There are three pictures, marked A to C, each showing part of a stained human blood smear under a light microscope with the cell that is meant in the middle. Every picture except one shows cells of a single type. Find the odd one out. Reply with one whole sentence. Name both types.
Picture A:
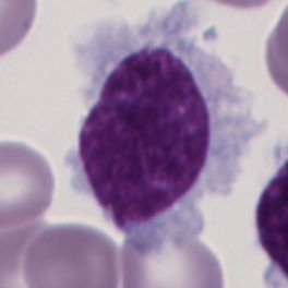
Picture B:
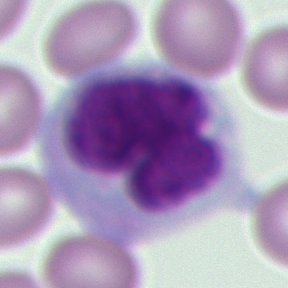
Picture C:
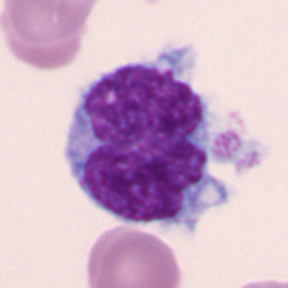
Unlike the rest, which show monocytes, picture A shows a hairy cell.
